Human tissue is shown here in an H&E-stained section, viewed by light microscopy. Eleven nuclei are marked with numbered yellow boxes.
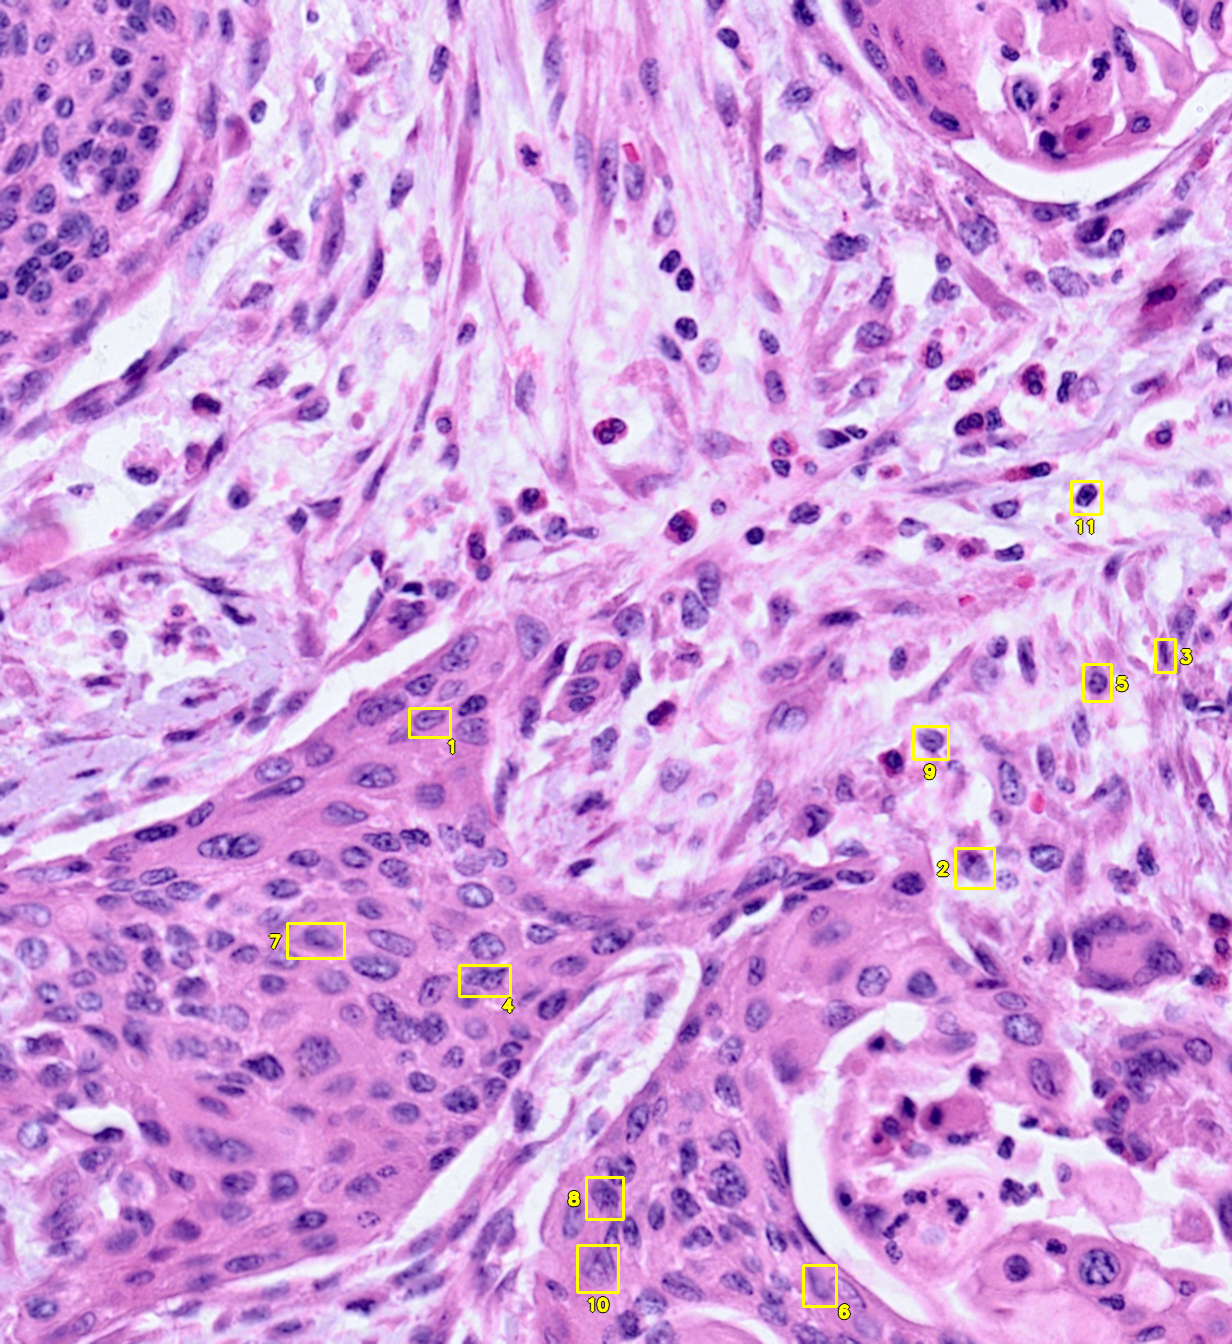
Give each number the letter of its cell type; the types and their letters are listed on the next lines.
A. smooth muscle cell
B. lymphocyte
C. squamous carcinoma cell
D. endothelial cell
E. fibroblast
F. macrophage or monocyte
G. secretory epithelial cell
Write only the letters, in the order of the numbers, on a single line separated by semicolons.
C; F; E; C; F; C; C; C; F; C; B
